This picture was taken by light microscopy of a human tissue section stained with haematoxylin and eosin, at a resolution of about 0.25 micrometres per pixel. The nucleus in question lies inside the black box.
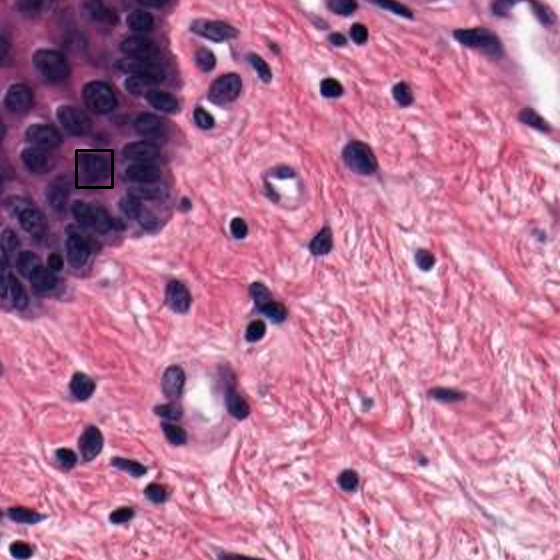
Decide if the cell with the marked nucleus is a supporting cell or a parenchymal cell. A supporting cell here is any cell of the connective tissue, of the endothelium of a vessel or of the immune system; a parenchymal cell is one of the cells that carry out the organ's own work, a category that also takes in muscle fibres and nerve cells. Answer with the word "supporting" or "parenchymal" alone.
parenchymal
